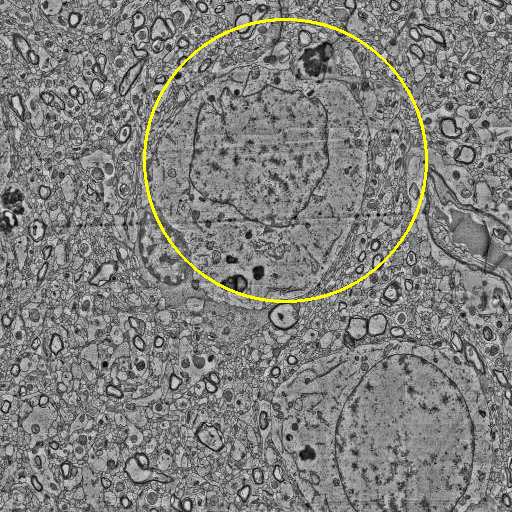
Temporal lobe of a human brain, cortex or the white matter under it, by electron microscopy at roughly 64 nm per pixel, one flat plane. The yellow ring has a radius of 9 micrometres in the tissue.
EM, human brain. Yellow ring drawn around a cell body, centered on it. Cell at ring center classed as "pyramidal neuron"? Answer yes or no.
yes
